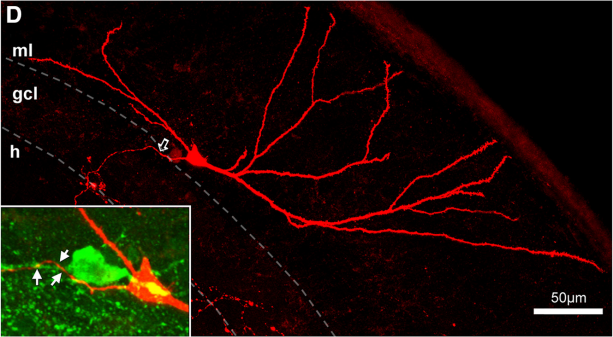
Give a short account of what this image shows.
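This is a single filled semilunar cell of the dentate region, its soma sitting at the boundary between the cell layer and the molecular layer. Several thick primary dendrites arise from the soma and fan out widely and obliquely through the molecular layer, branching repeatedly and reaching far to the side rather than forming a narrow cone. A thin, fine axon leaves the soma toward the deeper layer and the hilus.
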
